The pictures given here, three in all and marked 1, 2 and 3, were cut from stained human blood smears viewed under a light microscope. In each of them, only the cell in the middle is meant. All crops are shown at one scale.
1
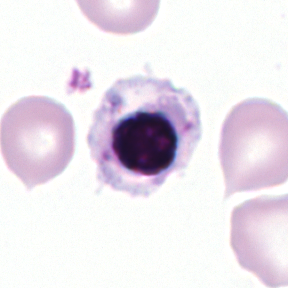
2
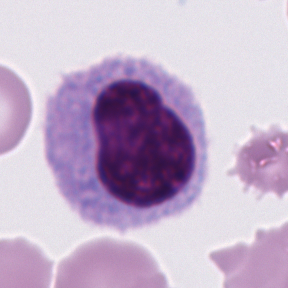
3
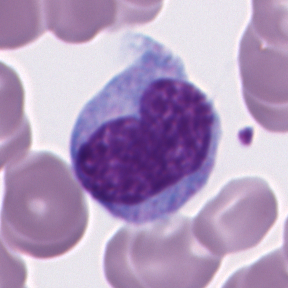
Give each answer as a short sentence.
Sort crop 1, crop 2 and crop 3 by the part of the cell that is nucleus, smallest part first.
They run 1, 2, 3, the least filled first.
